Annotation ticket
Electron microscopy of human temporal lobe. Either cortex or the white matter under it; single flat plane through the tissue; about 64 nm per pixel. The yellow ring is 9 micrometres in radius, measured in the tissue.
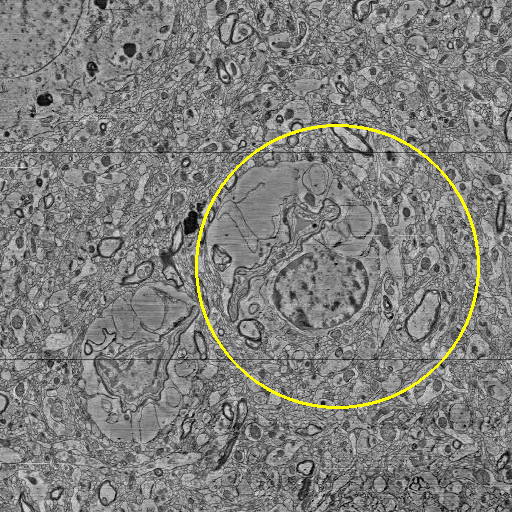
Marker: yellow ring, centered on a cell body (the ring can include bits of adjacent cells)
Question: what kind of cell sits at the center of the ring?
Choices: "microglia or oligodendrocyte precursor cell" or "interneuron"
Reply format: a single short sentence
The ring is centered on a microglial cell or oligodendrocyte precursor cell.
